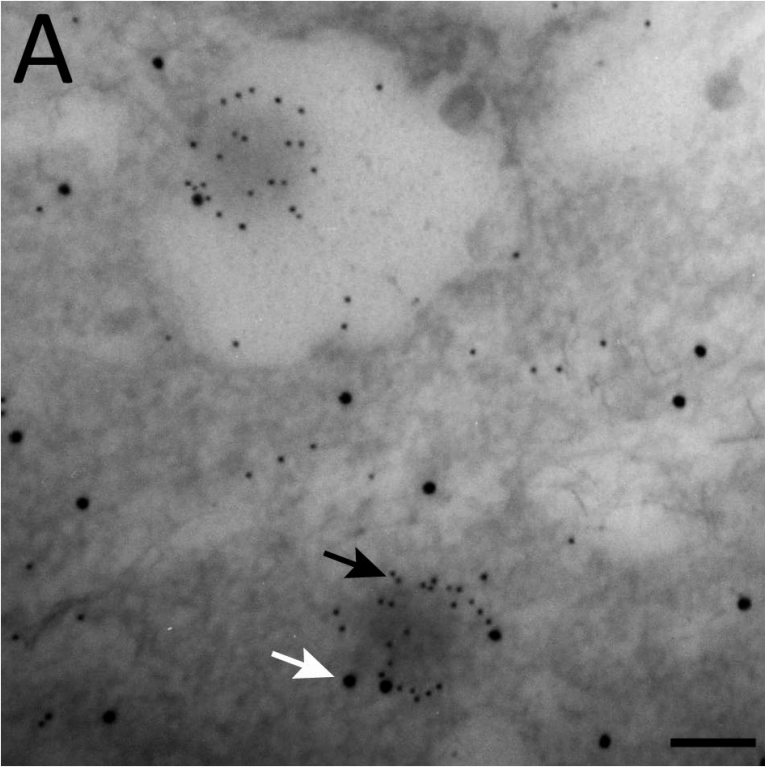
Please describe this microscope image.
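The small particles gather in rings or arcs around slightly denser grey patches of cytoplasm, one in the upper left and one in the lower middle of the field. A few large particles lie within or at the edge of these clusters. Other large and small particles are scattered singly over the surrounding finely fibrillar, unevenly grey cytoplasm. A large pale rounded region with little texture occupies the upper left.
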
